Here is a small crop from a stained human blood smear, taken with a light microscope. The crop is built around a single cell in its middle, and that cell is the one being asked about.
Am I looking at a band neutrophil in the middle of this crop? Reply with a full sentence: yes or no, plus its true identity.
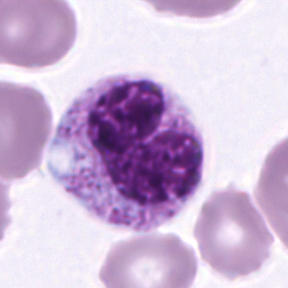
Yes, the middle cell of the field is a band neutrophil.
